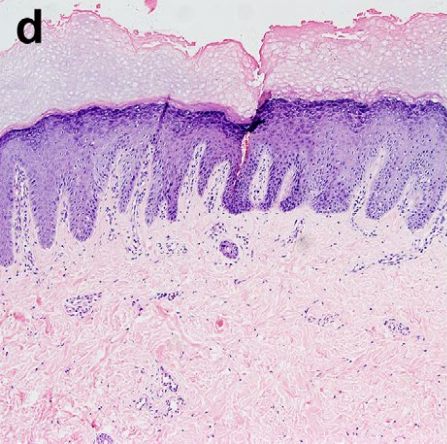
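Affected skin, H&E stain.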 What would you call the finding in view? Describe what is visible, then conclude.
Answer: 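Compact orthohyperkeratosis. A very thick, pale pink cornified layer lies on top of the epidermis.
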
